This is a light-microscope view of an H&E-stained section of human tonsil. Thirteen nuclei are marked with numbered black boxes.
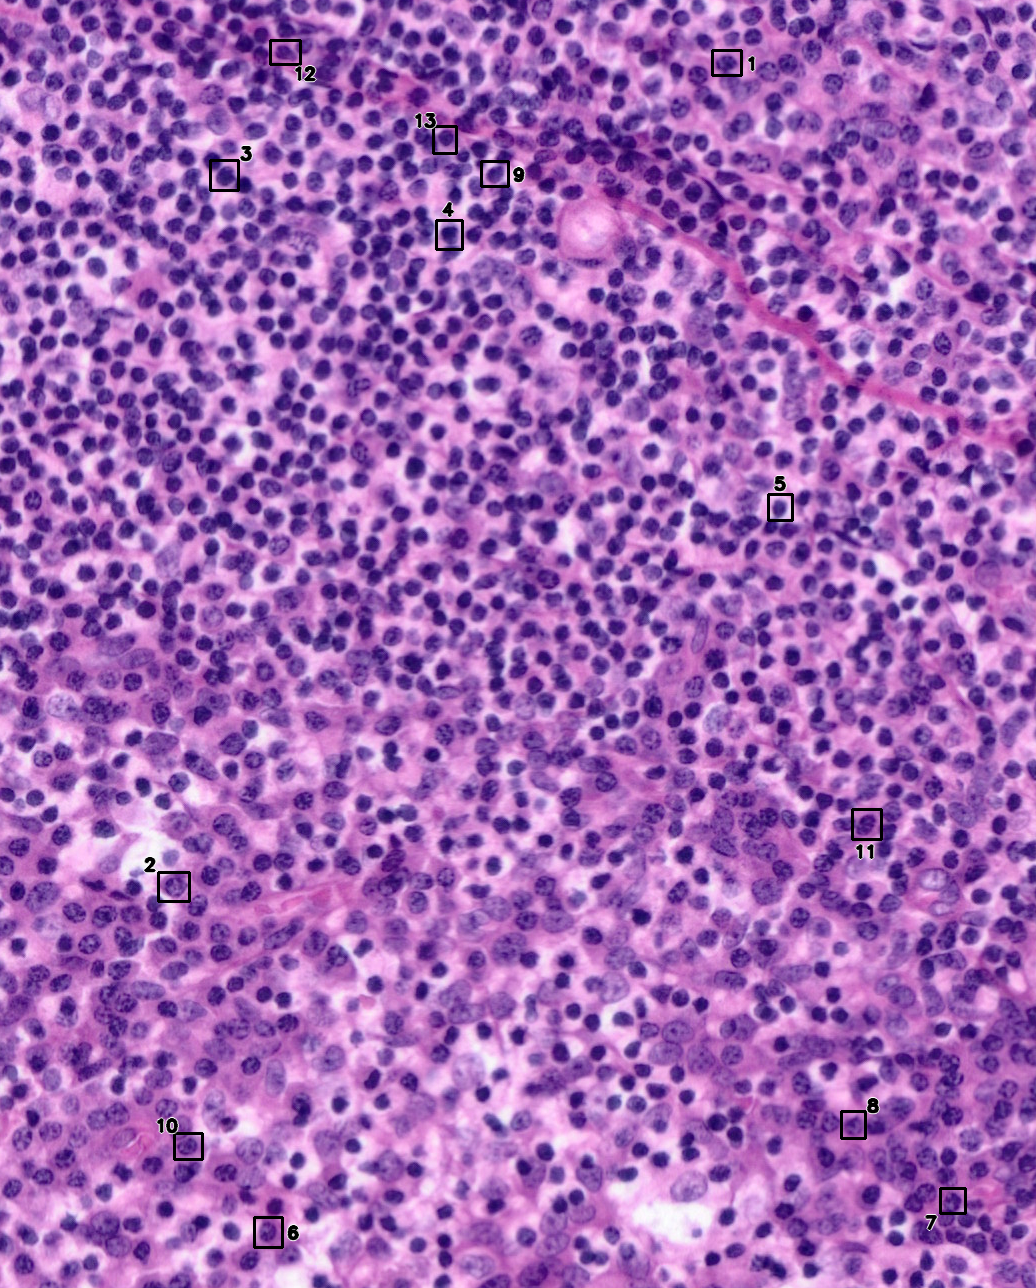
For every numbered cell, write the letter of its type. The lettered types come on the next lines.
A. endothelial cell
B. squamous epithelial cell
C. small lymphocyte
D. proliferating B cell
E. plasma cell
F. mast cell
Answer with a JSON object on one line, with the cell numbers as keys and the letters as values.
{"1": "E", "2": "E", "3": "C", "4": "C", "5": "C", "6": "E", "7": "E", "8": "E", "9": "C", "10": "E", "11": "E", "12": "C", "13": "C"}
